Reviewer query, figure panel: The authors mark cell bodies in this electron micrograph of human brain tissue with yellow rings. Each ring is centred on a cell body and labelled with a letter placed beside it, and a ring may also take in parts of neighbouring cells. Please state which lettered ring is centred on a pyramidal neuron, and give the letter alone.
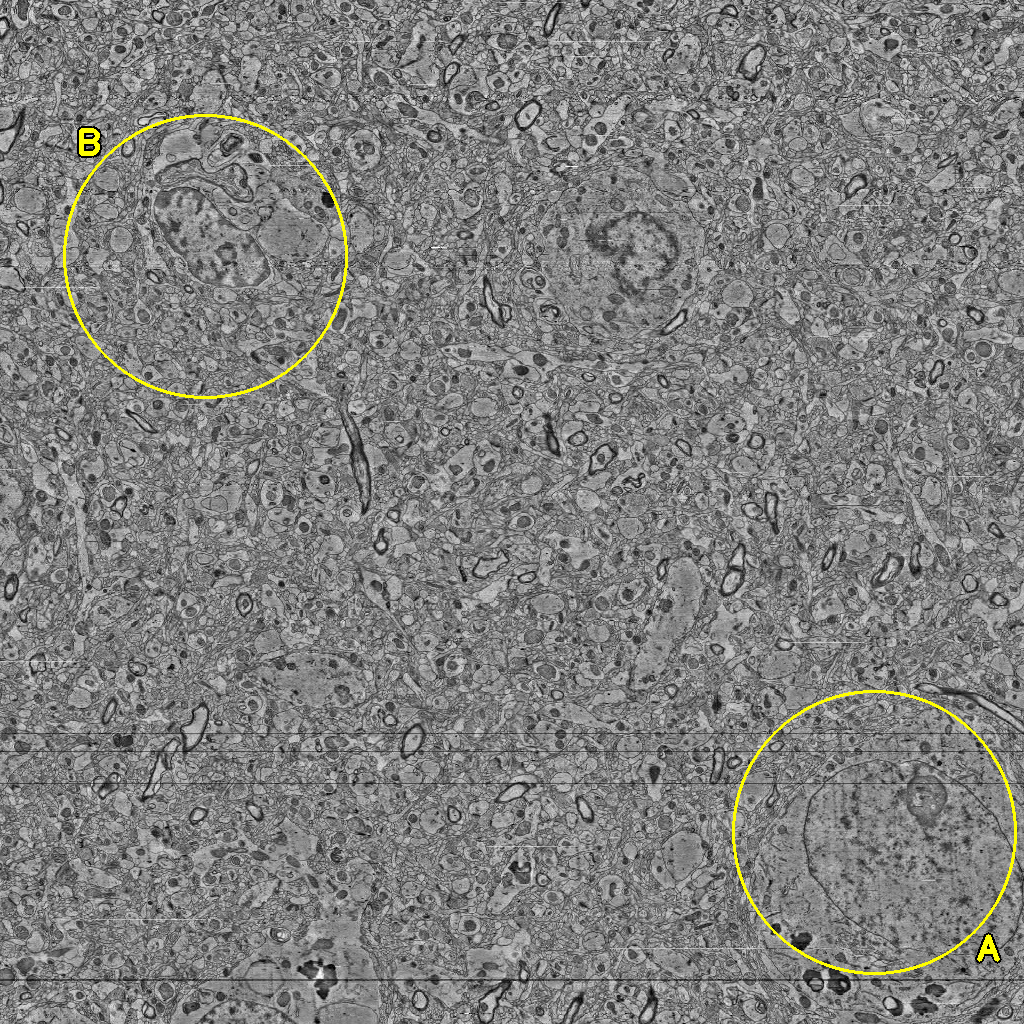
A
